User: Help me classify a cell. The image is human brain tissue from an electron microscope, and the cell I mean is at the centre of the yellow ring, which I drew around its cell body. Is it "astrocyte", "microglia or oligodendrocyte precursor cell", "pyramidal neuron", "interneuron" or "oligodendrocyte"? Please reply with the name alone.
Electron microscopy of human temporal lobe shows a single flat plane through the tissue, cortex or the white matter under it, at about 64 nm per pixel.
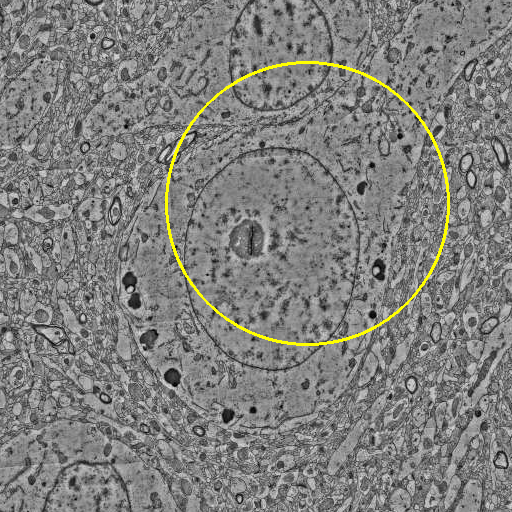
pyramidal neuron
